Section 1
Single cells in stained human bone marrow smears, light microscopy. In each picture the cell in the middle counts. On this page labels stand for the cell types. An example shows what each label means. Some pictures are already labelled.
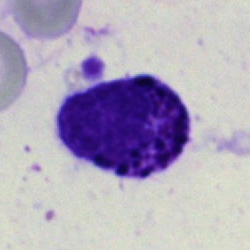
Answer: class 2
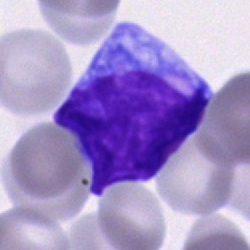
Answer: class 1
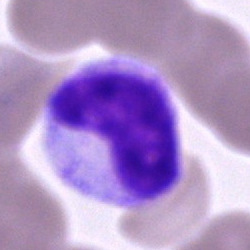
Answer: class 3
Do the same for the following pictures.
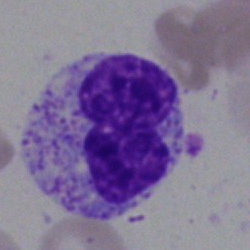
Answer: class 3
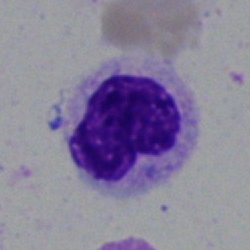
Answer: class 3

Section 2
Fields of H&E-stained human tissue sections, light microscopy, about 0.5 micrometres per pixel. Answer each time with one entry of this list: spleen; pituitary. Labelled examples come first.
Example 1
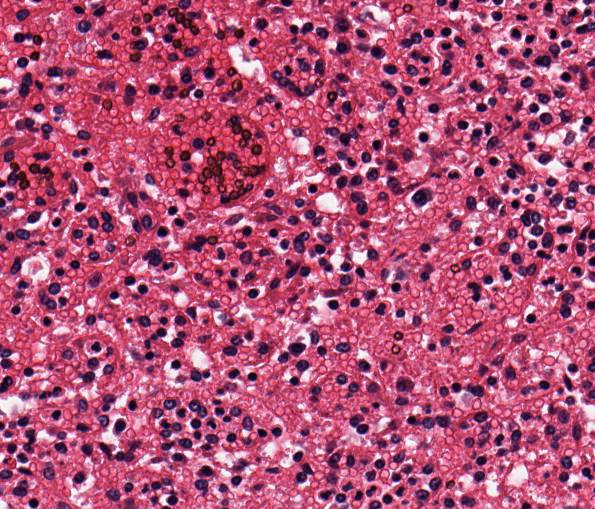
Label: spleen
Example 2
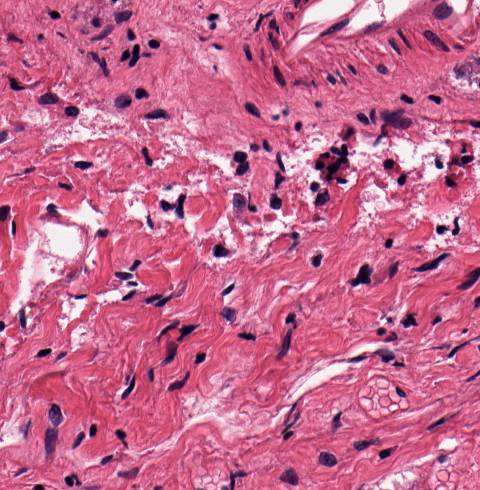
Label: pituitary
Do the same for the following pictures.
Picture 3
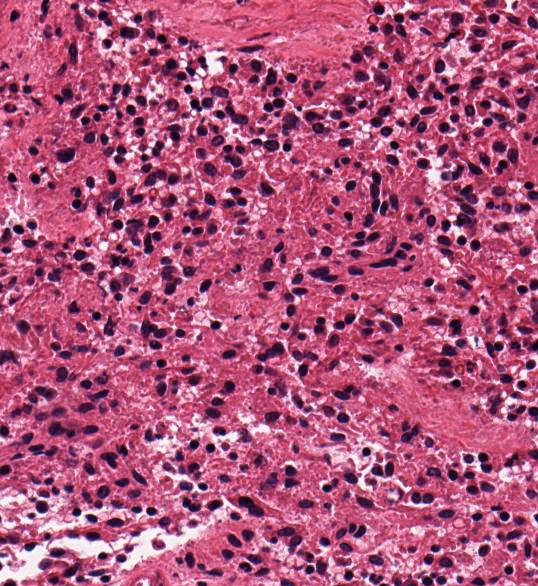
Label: spleen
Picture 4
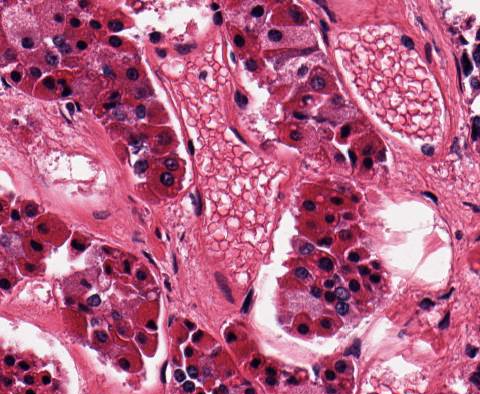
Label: pituitary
